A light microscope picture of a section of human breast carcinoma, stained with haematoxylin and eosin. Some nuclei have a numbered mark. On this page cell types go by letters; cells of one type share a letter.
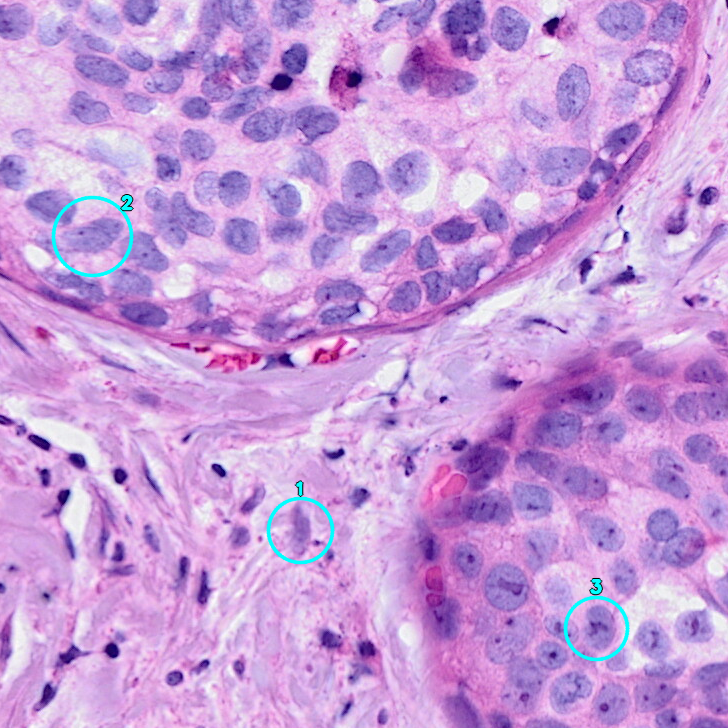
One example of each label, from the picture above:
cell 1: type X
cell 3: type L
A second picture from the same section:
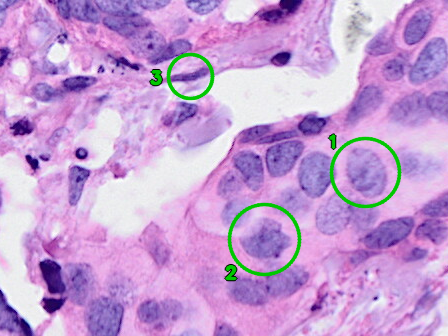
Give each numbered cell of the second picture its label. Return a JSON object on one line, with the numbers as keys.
{"1": "type L", "2": "type L", "3": "type X"}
